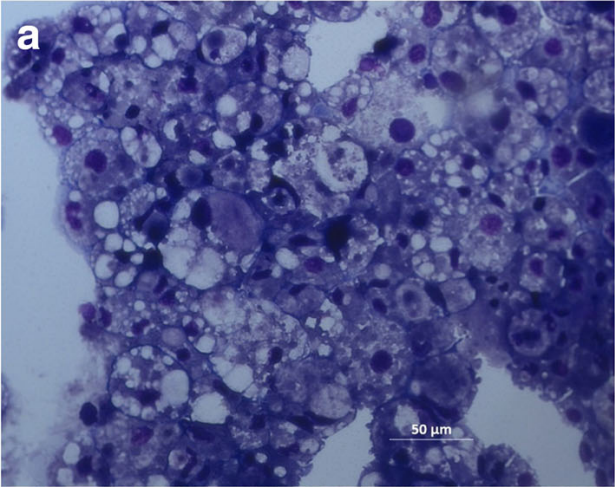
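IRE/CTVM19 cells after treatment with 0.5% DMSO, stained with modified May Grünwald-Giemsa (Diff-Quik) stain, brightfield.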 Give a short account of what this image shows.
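A dense sheet of cultured cells is seen, each cell round to polygonal with fairly distinct borders. The nuclei are round and stain dark purple, while the pale blue-violet cytoplasm is filled with many clear vacuoles of varying size. The cells are tightly packed with little loose material between them.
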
